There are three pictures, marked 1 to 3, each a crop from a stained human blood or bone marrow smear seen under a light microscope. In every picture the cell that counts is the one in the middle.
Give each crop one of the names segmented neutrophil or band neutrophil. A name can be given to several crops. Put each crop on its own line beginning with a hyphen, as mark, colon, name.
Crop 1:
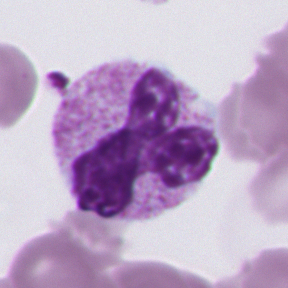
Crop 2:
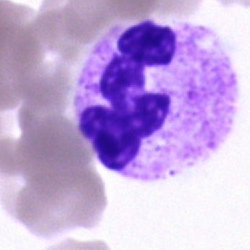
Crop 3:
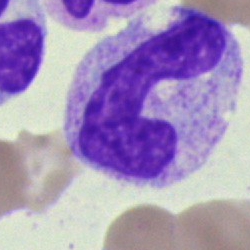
- 1: segmented neutrophil
- 2: segmented neutrophil
- 3: band neutrophil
